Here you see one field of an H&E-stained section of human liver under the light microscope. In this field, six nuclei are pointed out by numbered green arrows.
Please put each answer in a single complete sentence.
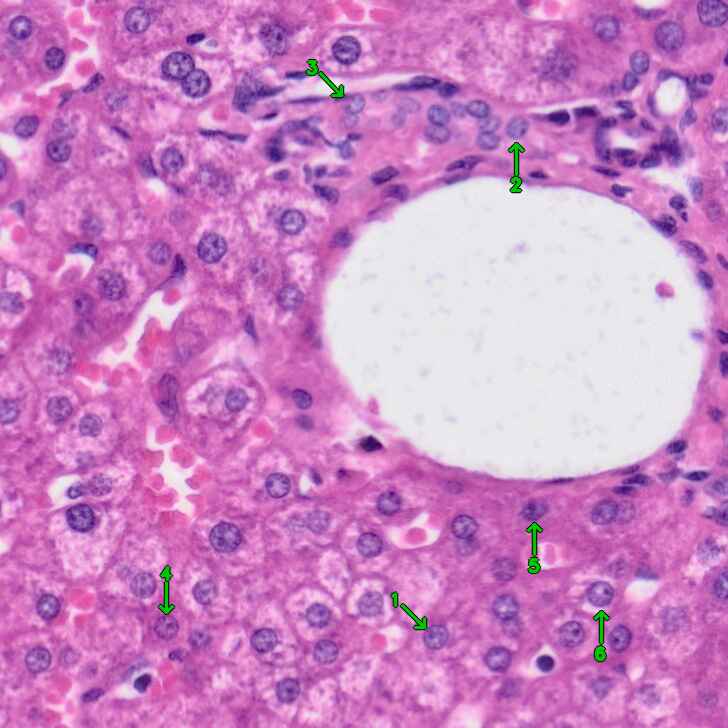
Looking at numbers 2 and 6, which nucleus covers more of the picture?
Number 6 is larger; its area is about 1.5 times that of number 2.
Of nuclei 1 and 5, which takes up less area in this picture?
With nucleus 1 about 1.5 times its size, nucleus 5 is the smaller of the two.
